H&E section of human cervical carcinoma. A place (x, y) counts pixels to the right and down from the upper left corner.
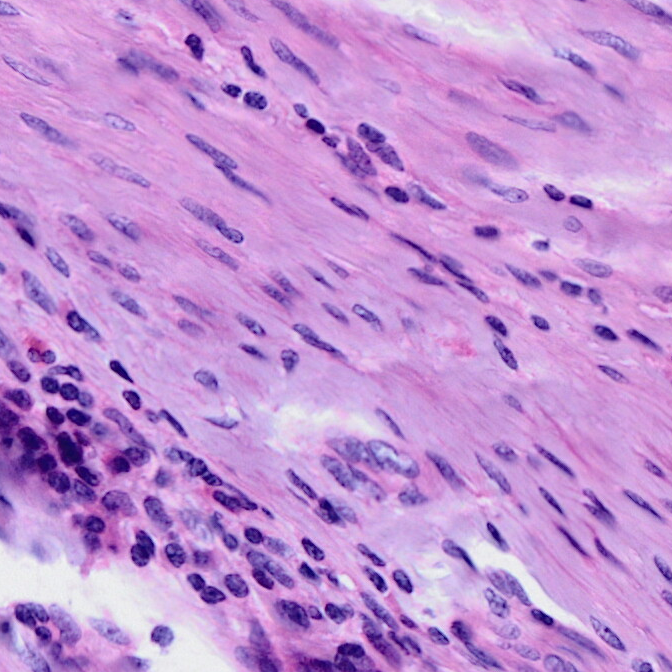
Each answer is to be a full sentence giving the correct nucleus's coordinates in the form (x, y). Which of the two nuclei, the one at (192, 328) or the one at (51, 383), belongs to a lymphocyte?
Housed in a lymphocyte is the nucleus at (51, 383), not the other one.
